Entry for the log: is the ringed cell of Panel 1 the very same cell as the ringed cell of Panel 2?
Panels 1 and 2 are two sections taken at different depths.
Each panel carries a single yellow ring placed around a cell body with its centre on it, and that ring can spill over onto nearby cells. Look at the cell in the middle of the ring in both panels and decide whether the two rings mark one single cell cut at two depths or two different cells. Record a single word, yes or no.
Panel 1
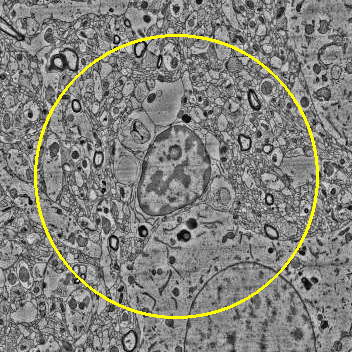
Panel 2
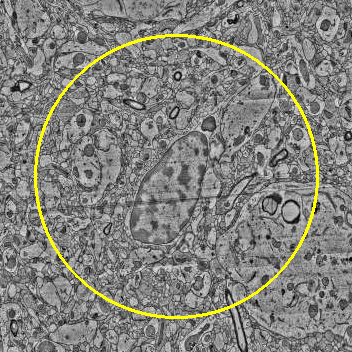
no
